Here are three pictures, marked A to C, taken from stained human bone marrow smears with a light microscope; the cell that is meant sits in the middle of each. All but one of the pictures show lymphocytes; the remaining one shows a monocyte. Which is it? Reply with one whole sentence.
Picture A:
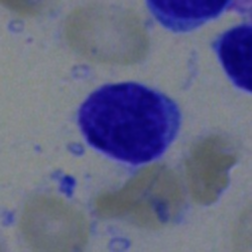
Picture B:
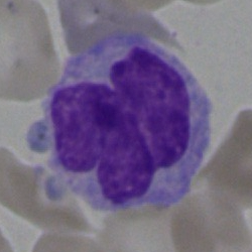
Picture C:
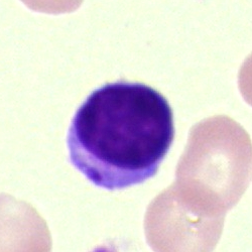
The picture with the monocyte is B.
